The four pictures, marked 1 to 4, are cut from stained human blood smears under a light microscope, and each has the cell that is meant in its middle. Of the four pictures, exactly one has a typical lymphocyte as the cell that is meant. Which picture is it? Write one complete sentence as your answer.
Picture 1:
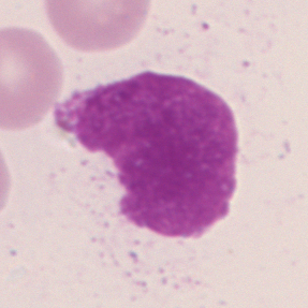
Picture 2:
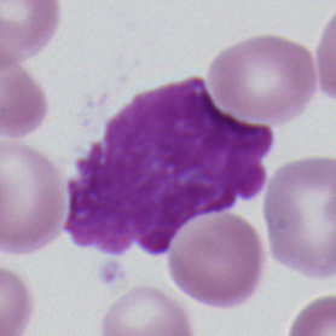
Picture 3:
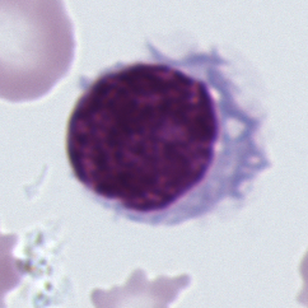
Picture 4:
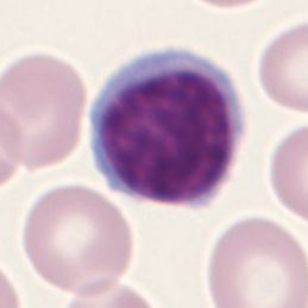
The cell in picture 4 is the typical lymphocyte.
